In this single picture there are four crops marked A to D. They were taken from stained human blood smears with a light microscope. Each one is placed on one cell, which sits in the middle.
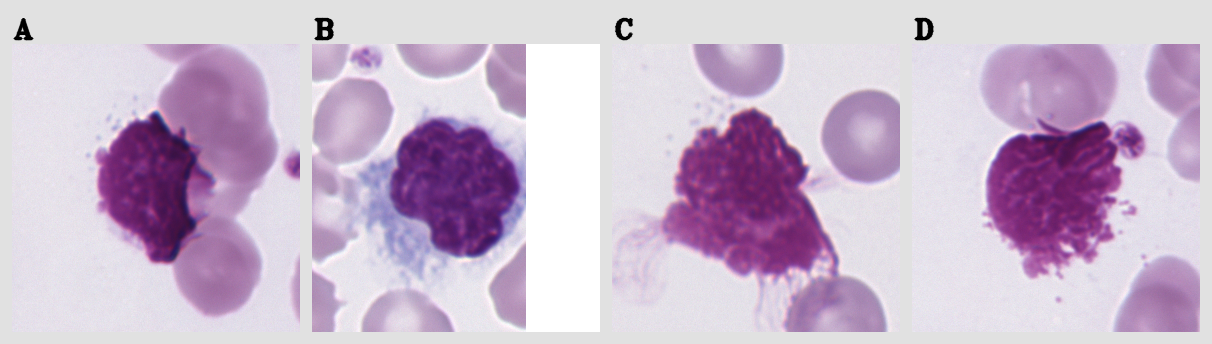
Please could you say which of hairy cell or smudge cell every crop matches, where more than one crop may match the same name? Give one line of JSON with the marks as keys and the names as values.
{"A": "smudge cell", "B": "hairy cell", "C": "smudge cell", "D": "smudge cell"}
